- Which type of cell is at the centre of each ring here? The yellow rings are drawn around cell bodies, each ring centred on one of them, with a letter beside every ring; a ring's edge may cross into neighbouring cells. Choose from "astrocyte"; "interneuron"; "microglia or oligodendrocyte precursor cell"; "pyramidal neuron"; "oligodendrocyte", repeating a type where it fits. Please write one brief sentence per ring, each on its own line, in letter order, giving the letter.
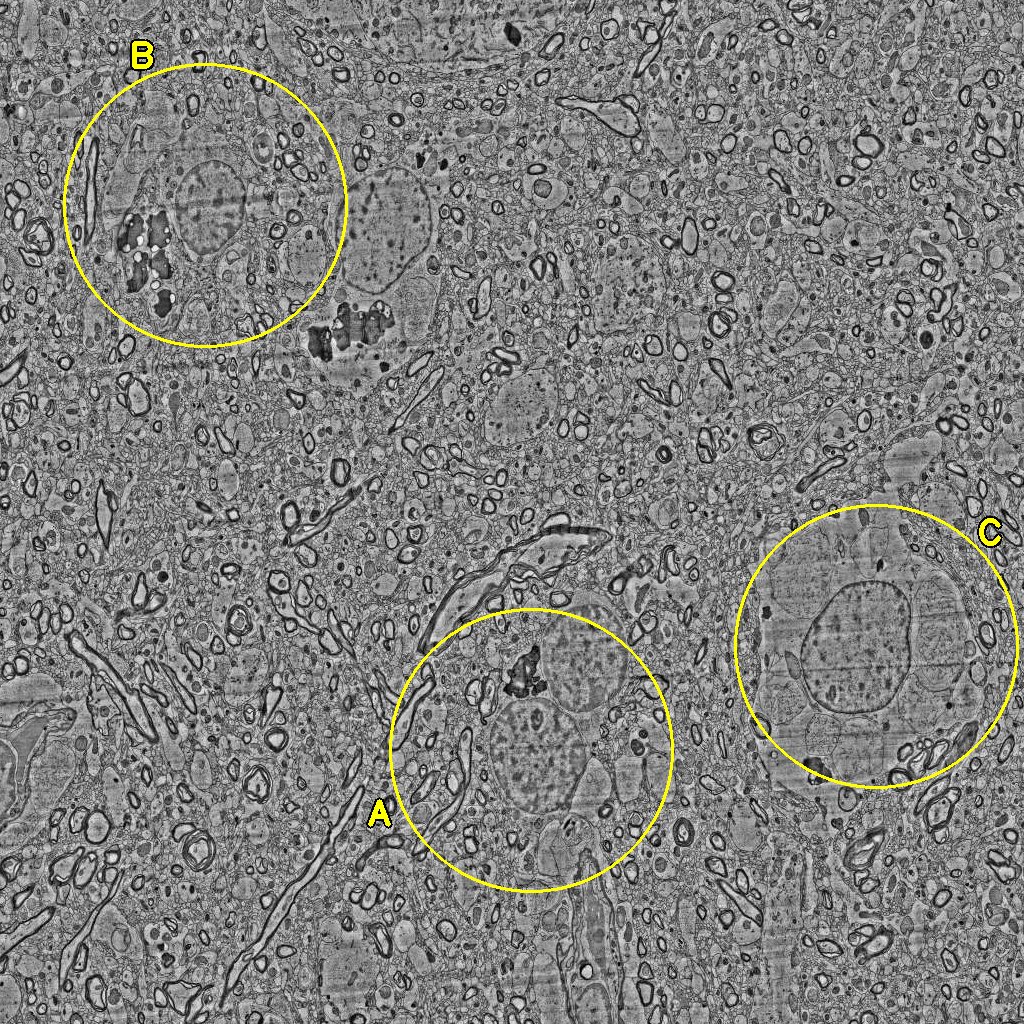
Ring A is centred over an oligodendrocyte.
Ring B is centred over an oligodendrocyte.
Ring C is centred over an astrocyte.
